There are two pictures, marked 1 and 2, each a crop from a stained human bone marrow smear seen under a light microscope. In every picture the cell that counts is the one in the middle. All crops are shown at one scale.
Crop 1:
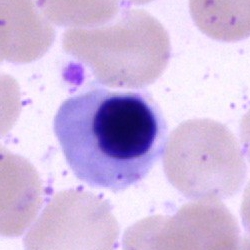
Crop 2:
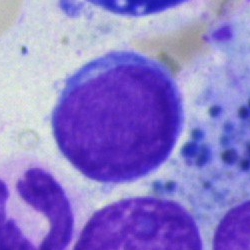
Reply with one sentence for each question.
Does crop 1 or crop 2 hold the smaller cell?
Crop 1 holds the smaller cell, since the cell in crop 2 covers about 2 times as much area.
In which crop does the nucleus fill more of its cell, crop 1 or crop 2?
Of the two, the nucleus in crop 2 makes up the greater part of its cell.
